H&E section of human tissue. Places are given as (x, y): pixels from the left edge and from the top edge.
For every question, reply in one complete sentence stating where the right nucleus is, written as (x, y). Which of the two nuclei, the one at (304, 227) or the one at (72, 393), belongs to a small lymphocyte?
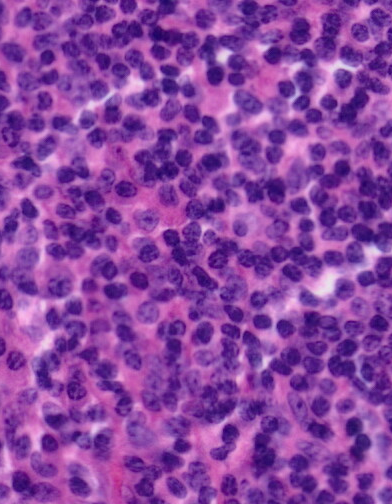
The nucleus belonging to a small lymphocyte is the one at (304, 227).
